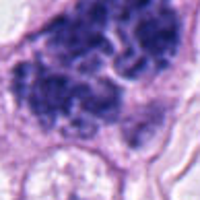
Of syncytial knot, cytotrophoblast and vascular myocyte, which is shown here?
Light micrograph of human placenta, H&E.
syncytial knot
